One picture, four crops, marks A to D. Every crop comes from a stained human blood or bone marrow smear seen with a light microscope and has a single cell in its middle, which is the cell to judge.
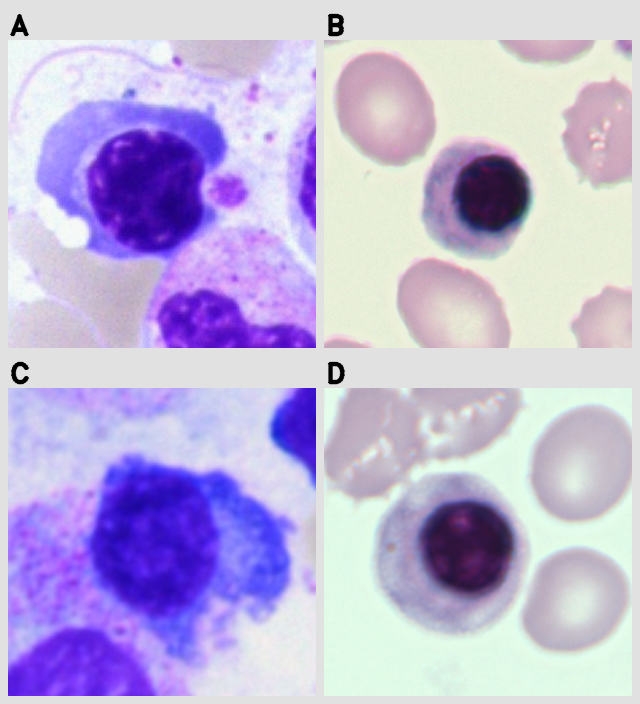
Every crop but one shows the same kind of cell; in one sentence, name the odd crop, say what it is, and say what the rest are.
Only in crop C is there a plasma cell; all other crops show erythroblasts.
